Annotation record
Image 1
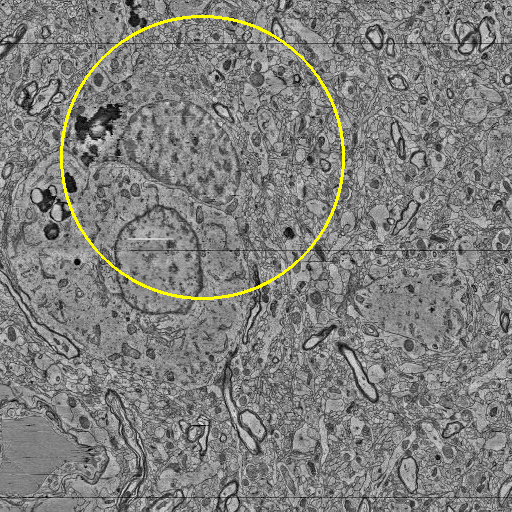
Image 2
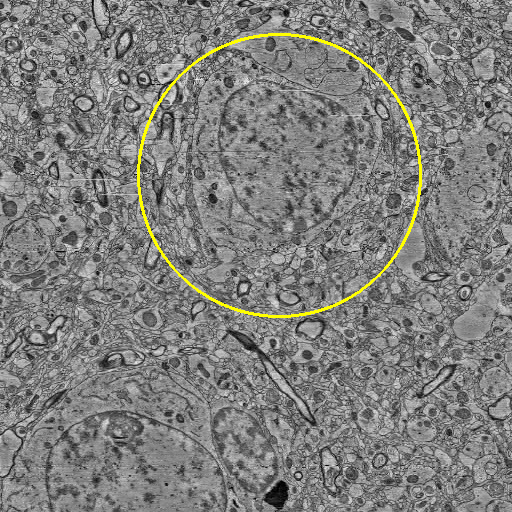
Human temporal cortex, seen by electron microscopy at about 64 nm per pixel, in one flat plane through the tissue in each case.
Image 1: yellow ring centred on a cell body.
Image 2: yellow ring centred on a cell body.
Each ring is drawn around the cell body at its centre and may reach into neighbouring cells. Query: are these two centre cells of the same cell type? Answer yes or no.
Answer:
no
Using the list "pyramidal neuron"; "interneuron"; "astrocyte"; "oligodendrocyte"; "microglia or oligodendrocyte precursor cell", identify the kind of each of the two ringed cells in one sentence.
The first is an oligodendrocyte and the second is an interneuron.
